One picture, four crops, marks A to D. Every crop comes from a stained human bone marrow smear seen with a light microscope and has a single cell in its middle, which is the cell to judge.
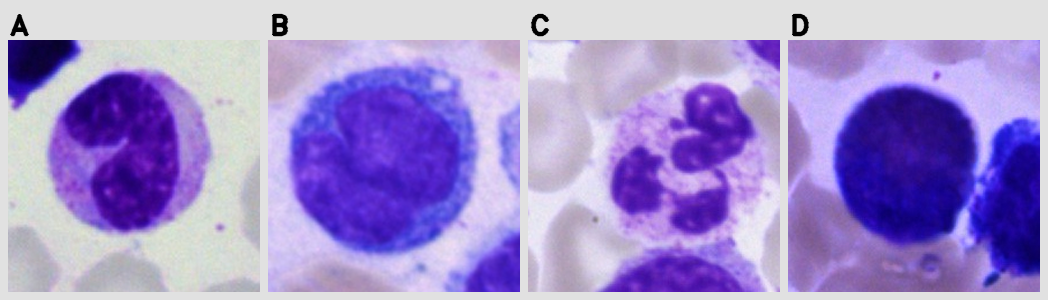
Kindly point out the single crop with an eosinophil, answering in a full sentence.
The crop that shows an eosinophil is crop D.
